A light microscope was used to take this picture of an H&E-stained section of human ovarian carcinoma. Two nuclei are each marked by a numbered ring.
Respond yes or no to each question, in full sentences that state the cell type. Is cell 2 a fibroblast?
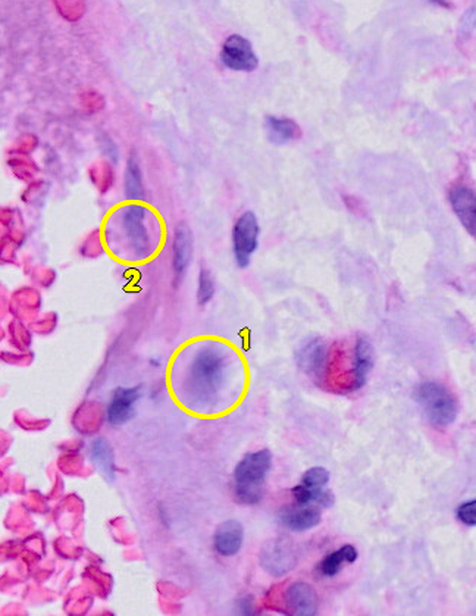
No, it's not a fibroblast at number 2; that cell is an endothelial cell.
